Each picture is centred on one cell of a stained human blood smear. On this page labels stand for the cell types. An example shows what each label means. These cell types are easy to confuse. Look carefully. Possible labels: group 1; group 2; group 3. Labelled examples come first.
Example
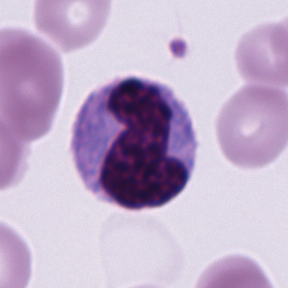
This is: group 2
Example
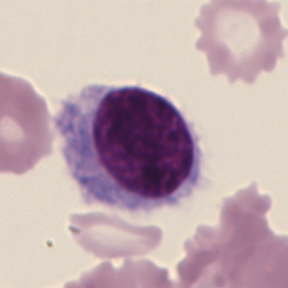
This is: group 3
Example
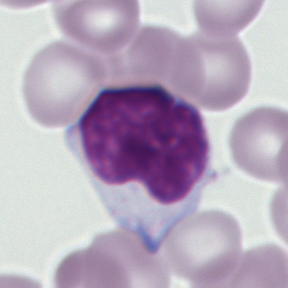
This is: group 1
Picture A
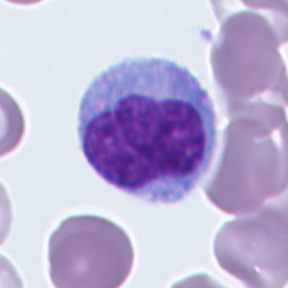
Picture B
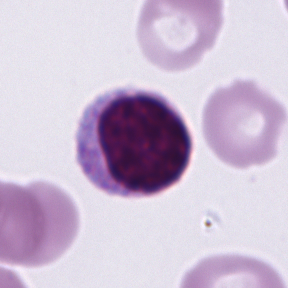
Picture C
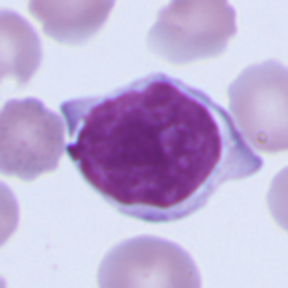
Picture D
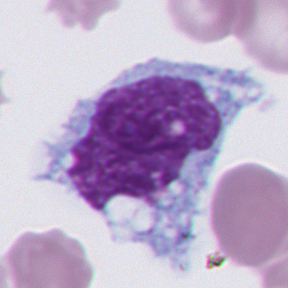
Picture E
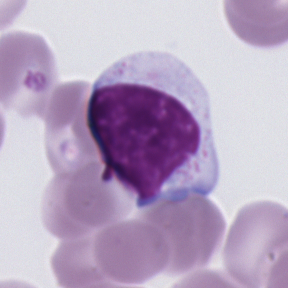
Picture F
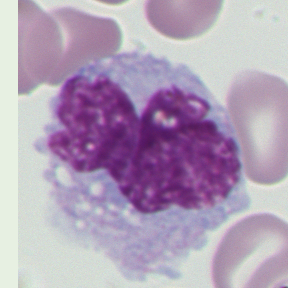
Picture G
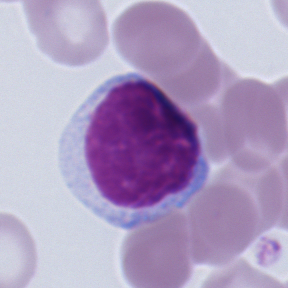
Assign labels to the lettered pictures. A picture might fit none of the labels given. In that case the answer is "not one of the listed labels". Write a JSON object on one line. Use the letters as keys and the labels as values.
{"A": "group 2", "B": "group 1", "C": "not one of the listed labels", "D": "group 2", "E": "group 1", "F": "group 2", "G": "group 1"}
